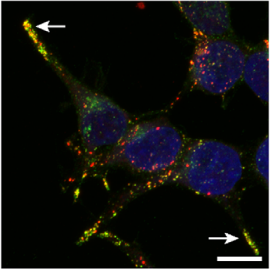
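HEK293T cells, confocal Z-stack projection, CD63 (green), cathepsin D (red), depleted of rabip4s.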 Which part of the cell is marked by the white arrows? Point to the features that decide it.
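Arrows point to the ends of thin extensions of the cells. Yellow overlapping puncta are clustered at these ends.
Hence: cellular protrusions.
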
